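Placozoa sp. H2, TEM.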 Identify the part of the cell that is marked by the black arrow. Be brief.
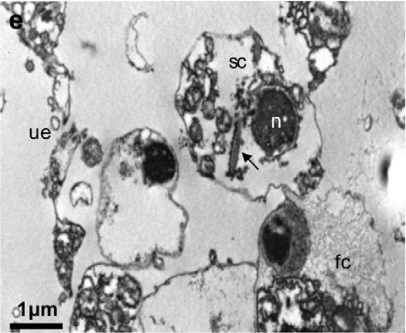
Retracted flagellum.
